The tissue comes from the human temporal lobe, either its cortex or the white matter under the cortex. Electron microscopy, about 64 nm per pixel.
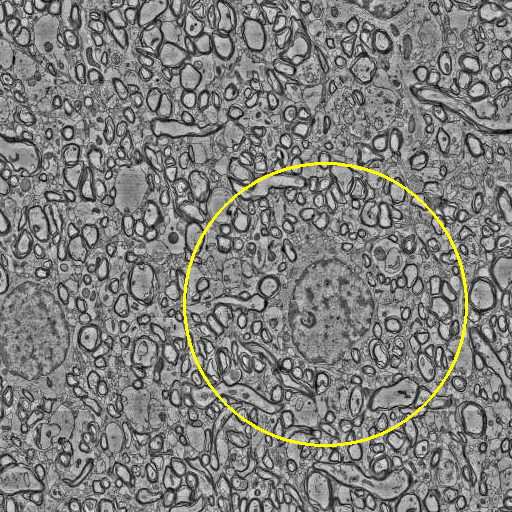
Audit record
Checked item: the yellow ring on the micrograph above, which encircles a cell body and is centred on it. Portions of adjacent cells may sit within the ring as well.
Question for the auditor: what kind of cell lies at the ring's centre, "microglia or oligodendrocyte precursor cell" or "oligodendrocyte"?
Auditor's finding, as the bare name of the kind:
oligodendrocyte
